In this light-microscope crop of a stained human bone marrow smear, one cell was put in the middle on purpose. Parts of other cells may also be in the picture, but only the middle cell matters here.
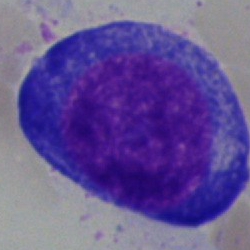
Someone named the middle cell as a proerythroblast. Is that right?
yes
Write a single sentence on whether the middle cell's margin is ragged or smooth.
No projections interrupt the outline; it is smooth all the way round.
